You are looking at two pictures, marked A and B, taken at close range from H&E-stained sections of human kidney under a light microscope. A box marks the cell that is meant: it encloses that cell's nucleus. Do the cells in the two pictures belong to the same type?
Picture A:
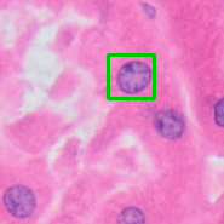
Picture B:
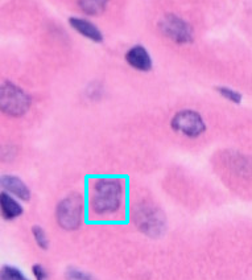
yes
